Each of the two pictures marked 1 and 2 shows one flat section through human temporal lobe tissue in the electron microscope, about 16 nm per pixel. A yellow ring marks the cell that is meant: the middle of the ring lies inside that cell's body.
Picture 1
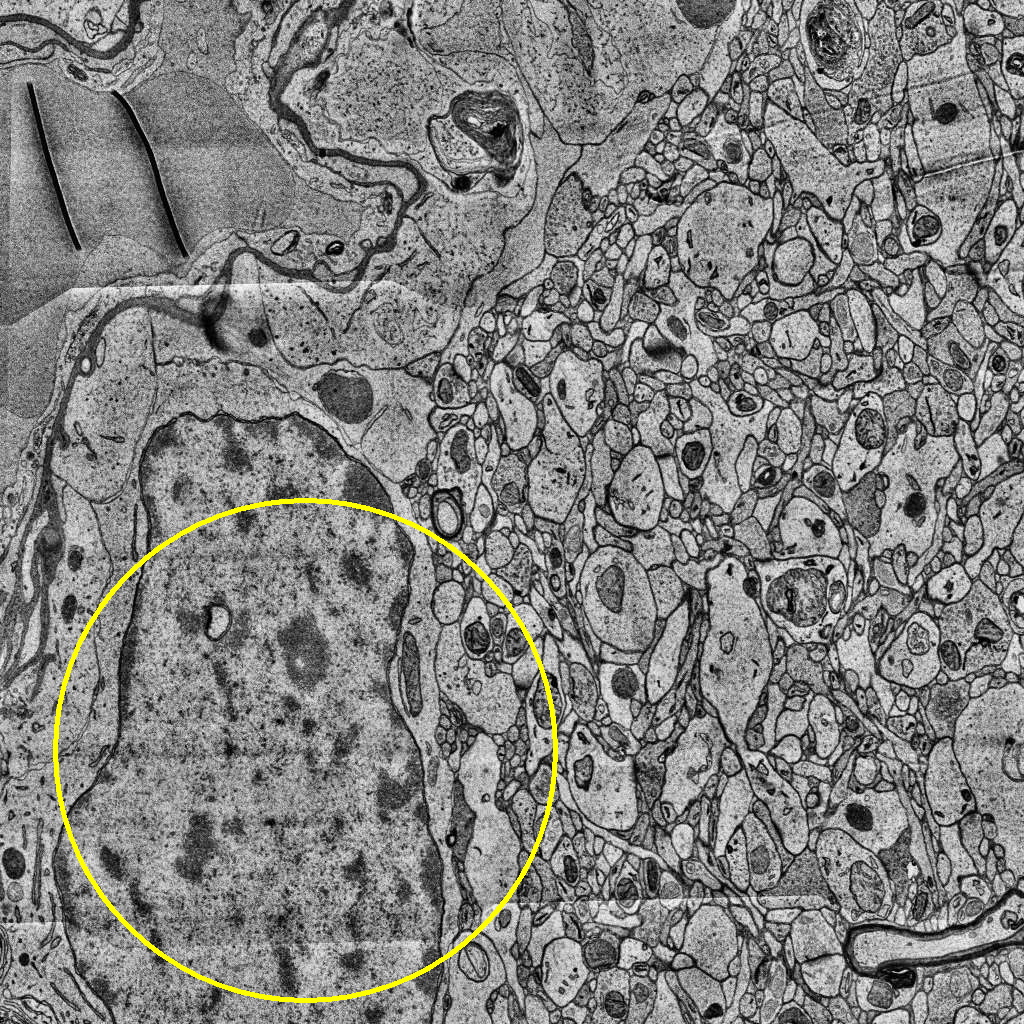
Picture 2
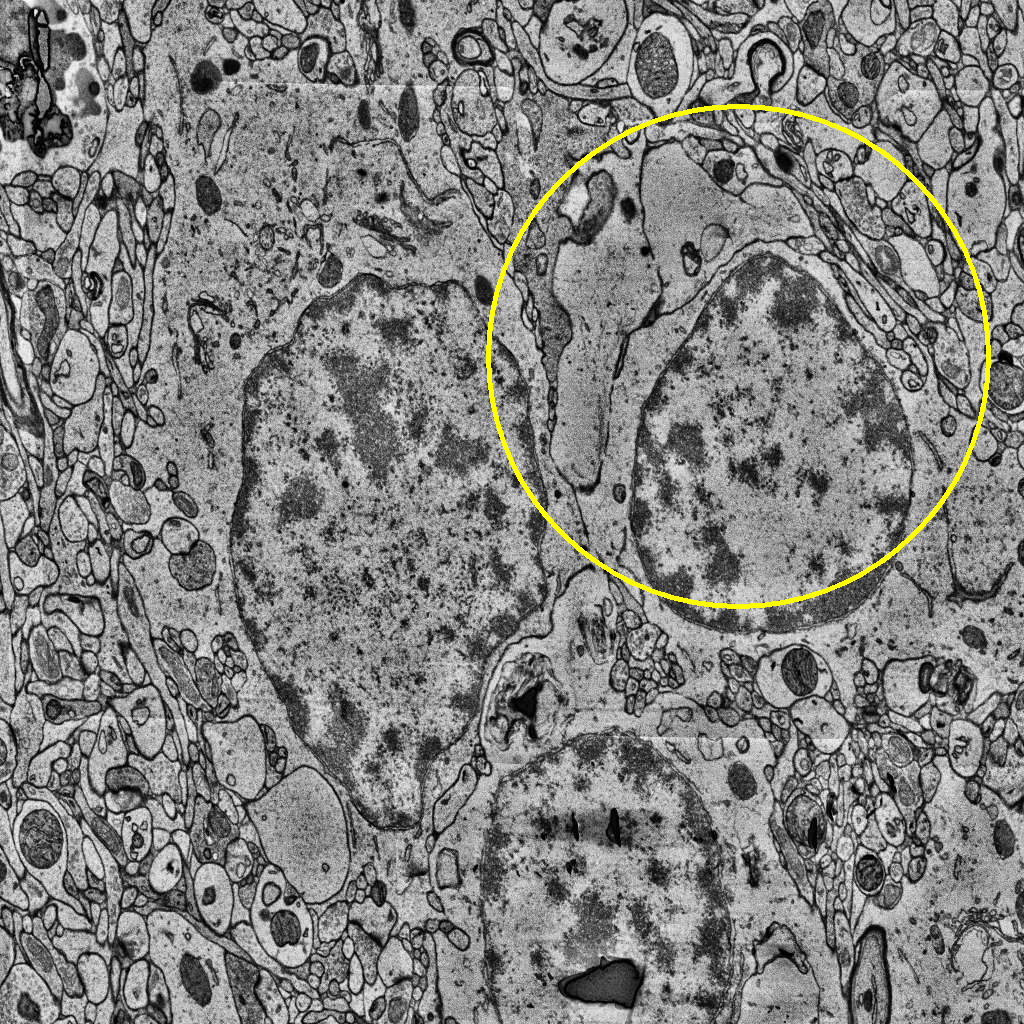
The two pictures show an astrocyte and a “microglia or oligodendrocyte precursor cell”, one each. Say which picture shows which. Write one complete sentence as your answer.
Picture 1 is of a “microglia or oligodendrocyte precursor cell”, and picture 2 is of an astrocyte.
